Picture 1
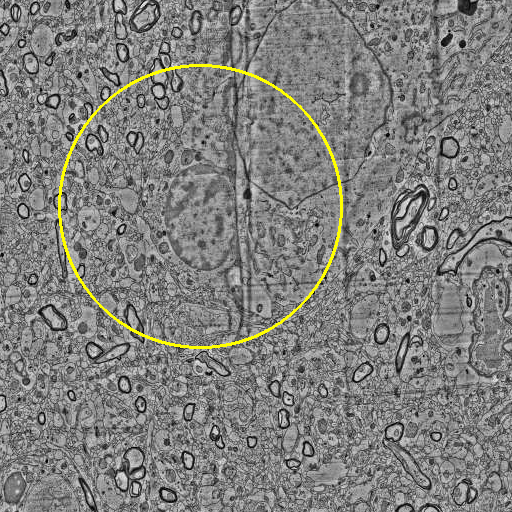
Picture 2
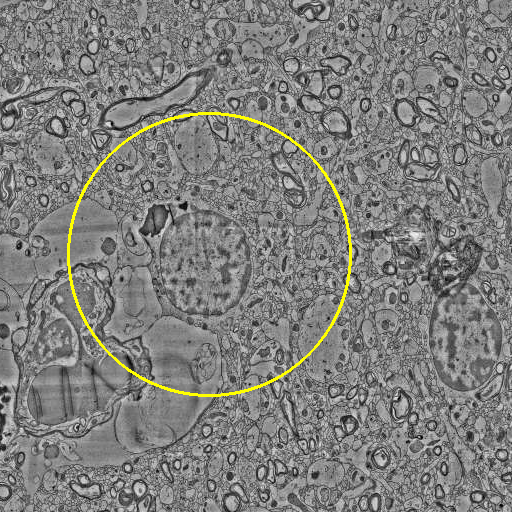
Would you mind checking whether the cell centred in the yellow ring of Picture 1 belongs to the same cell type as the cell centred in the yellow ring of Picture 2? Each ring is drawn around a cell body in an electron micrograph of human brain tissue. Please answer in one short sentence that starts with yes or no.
Yes, both cells are of the same type.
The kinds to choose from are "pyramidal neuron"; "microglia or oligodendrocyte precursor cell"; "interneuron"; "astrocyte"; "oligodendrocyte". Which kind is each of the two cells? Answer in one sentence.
Each of the two cells is an oligodendrocyte.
